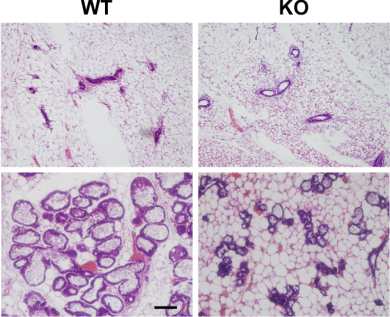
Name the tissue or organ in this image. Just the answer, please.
mammary glands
